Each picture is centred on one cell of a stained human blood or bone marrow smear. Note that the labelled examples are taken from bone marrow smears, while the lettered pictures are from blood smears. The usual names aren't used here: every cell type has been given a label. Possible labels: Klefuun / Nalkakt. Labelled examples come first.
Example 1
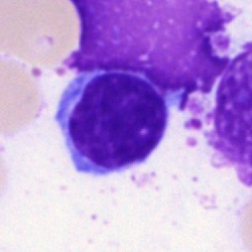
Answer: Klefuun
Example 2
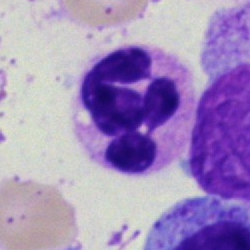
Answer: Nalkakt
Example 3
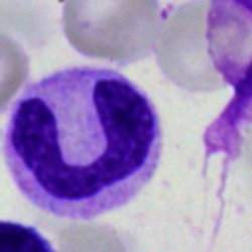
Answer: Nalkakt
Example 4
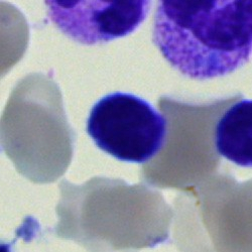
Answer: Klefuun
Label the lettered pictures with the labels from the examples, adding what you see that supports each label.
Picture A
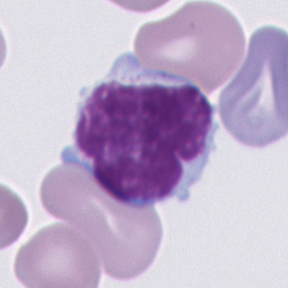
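Answer: Klefuun. The cytoplasm forms only a narrow rim around the nucleus.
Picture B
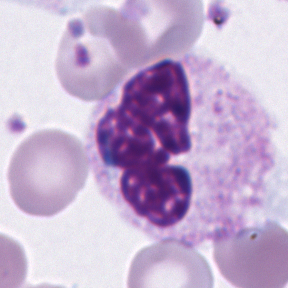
Answer: Nalkakt. The cytoplasm is plentiful and pale pinkish-lilac.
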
